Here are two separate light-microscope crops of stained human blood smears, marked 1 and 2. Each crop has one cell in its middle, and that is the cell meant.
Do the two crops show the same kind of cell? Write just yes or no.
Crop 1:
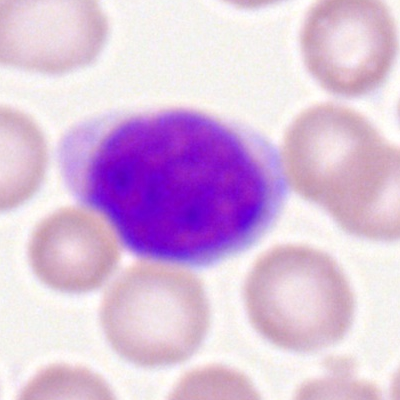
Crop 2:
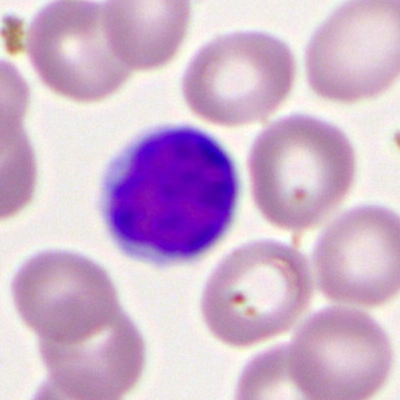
no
